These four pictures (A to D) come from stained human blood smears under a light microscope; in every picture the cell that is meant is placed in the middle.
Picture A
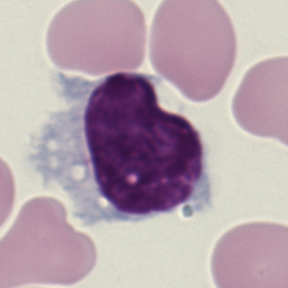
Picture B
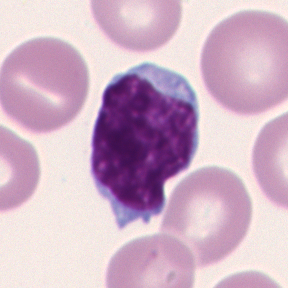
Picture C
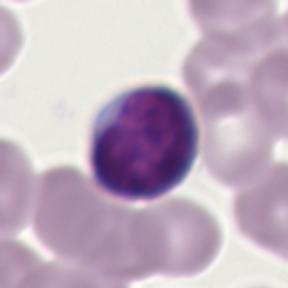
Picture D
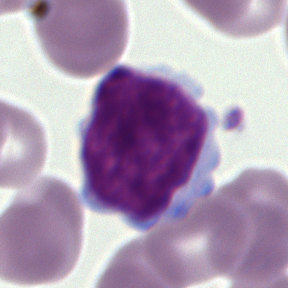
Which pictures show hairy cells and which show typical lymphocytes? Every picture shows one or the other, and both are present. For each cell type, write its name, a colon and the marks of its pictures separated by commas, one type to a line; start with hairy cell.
hairy cell: A
typical lymphocyte: B, C, D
